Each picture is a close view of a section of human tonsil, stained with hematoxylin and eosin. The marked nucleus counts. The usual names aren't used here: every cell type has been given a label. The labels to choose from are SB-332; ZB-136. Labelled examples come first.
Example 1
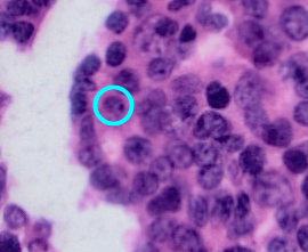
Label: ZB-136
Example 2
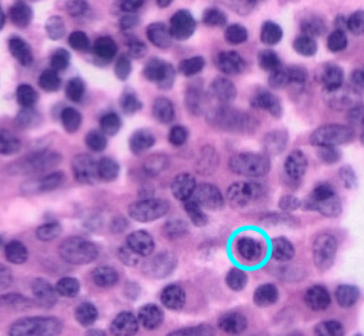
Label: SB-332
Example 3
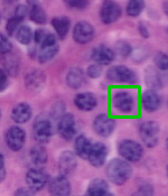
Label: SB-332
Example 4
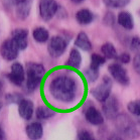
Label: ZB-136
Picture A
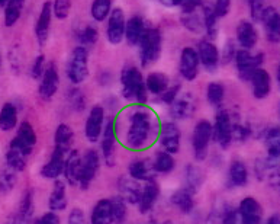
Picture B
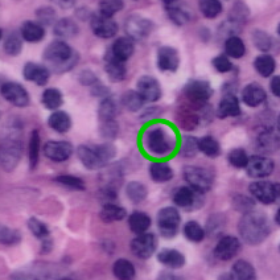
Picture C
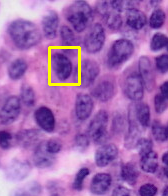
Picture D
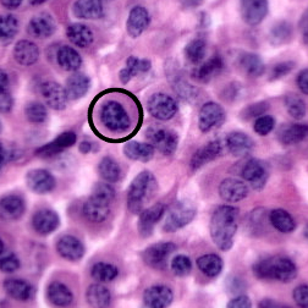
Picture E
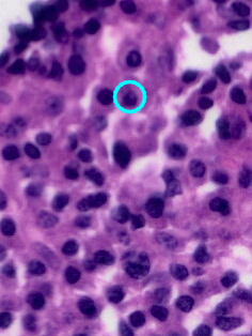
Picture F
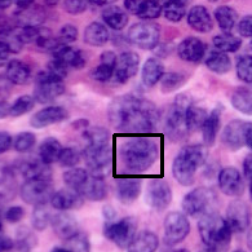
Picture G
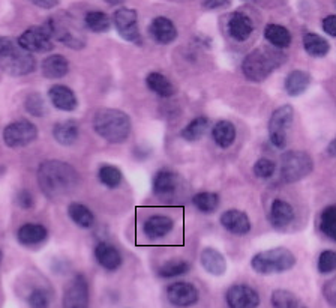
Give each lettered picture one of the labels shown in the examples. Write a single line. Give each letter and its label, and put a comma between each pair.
A SB-332, B SB-332, C ZB-136, D SB-332, E SB-332, F ZB-136, G SB-332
